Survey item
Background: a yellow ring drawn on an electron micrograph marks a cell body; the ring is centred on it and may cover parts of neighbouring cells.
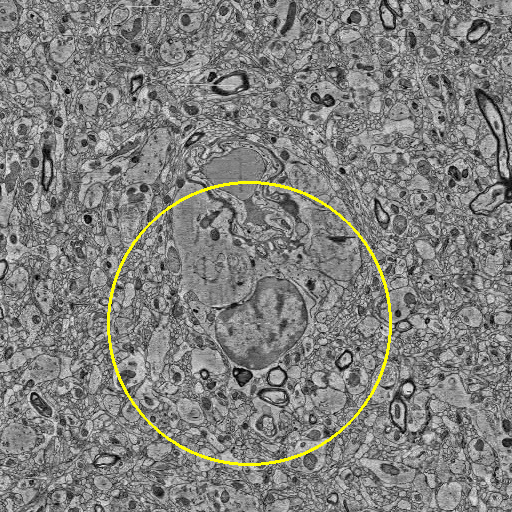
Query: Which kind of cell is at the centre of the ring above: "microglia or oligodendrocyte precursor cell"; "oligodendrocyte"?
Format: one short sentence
The cell in the middle of the ring is a microglial cell or oligodendrocyte precursor cell.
